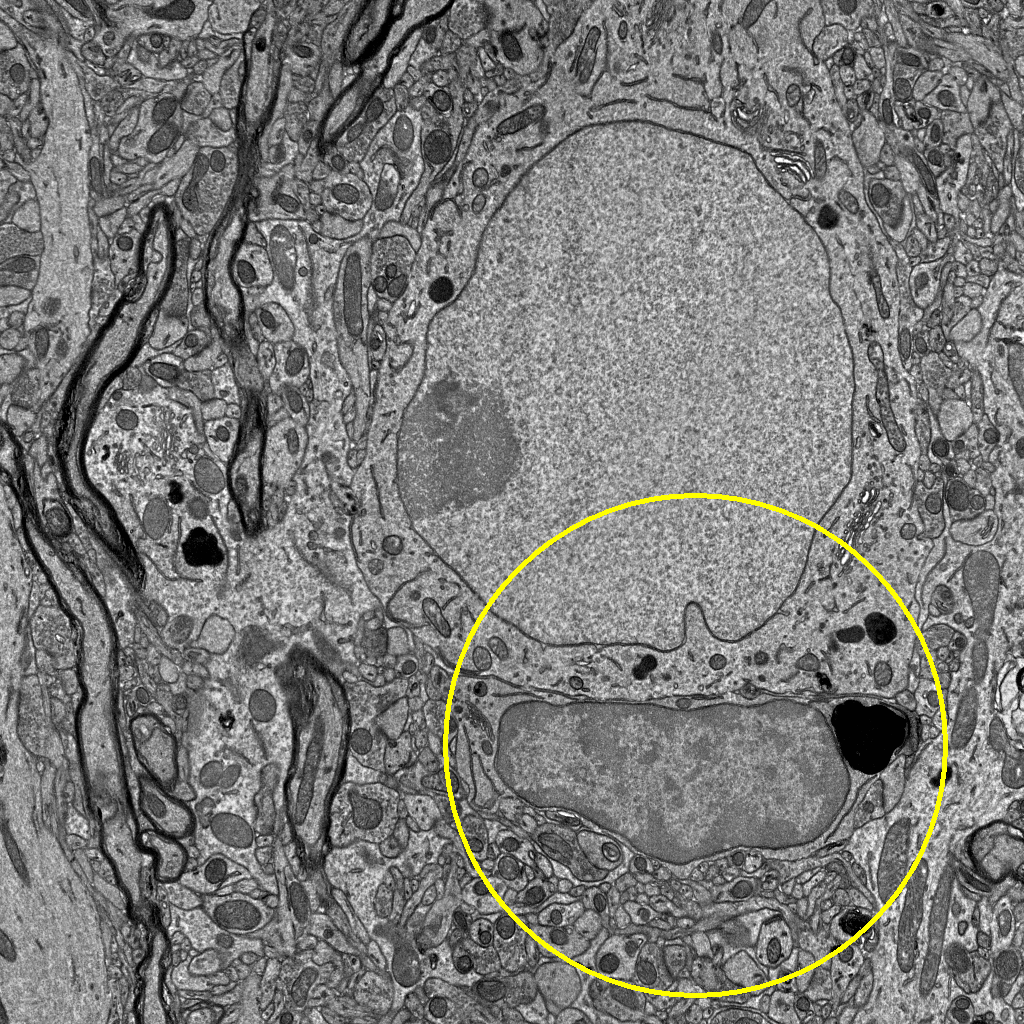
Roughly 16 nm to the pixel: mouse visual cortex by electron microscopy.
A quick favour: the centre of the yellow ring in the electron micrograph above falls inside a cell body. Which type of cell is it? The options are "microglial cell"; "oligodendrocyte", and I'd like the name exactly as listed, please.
microglial cell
